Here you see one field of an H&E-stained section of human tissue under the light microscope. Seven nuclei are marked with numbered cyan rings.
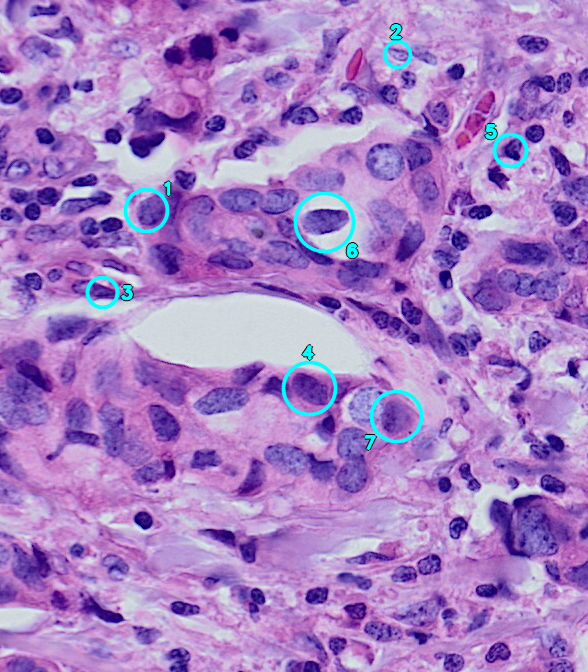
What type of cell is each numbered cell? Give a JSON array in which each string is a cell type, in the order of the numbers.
["carcinoma cell", "macrophage, monocyte or dendritic cell", "endothelial cell", "carcinoma cell", "lymphocyte", "carcinoma cell", "carcinoma cell"]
